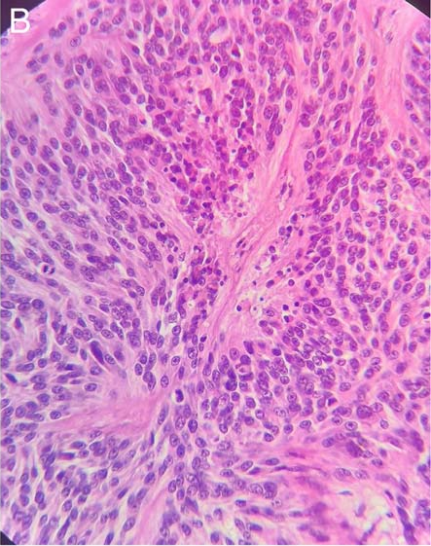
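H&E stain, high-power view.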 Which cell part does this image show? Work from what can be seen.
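Many nuclei show a distinct small dot-like nucleolus. Nuclear chromatin is pale and open around the nucleolus. On this evidence: prominent eosinophilic nucleoli.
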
